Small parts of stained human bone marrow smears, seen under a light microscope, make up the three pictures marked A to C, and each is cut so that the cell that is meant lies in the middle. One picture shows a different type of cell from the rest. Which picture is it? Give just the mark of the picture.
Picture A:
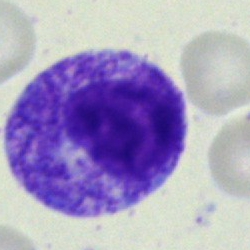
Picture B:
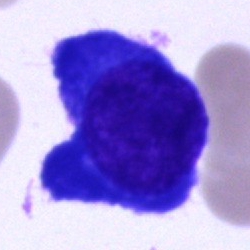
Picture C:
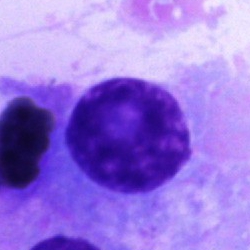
A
